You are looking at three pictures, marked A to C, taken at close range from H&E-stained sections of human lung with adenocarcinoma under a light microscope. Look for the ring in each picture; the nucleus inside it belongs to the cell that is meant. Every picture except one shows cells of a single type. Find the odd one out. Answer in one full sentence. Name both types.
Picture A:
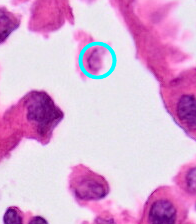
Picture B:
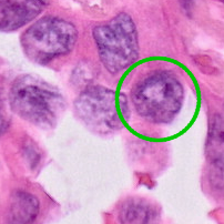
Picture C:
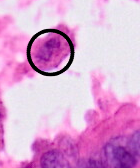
Picture B is the odd one out: it shows a carcinoma cell, while the others show “macrophages or monocytes”.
